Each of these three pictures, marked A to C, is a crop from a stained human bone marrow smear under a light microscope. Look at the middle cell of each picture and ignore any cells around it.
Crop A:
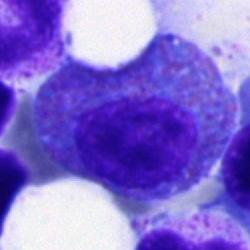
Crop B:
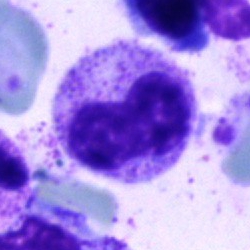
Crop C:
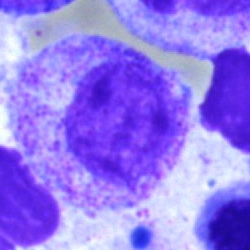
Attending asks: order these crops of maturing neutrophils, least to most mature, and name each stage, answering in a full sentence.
Arranged by increasing maturity, the sequence is crop A (a promyelocyte), crop C (a myelocyte) and crop B (a metamyelocyte).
